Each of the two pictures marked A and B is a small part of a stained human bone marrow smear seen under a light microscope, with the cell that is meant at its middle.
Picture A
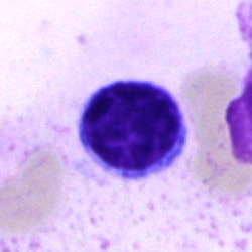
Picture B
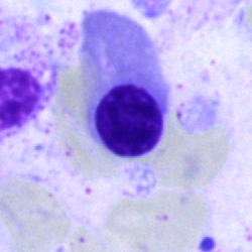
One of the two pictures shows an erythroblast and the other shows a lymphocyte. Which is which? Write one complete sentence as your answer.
It is picture A that shows a lymphocyte, and picture B that shows an erythroblast.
